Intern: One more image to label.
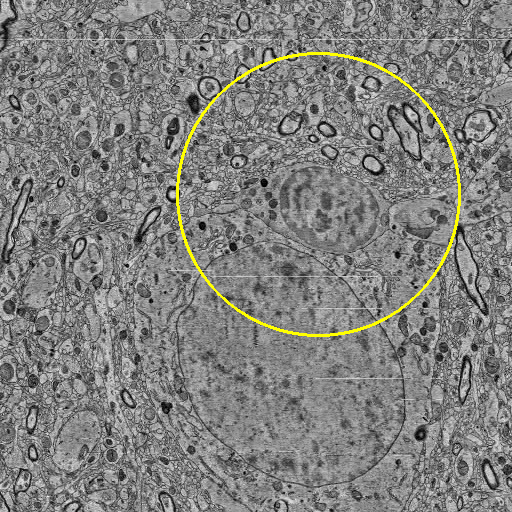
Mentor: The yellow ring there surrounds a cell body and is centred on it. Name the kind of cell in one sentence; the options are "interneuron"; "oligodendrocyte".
The ring marks the cell body of an oligodendrocyte.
